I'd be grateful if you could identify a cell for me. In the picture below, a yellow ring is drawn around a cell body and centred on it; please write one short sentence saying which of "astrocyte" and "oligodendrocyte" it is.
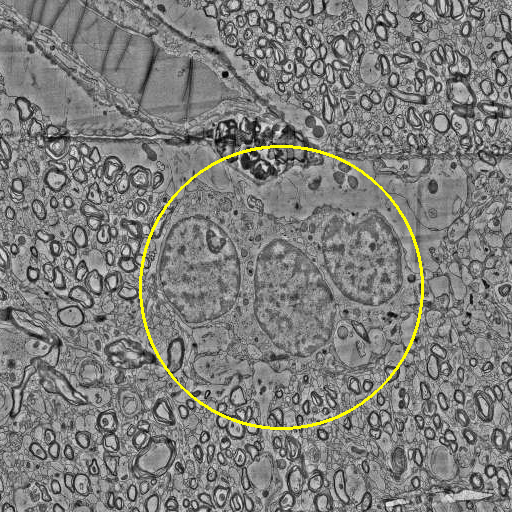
The cell under the ring's centre is an oligodendrocyte.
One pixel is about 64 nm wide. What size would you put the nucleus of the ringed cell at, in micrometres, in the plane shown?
The nucleus appears roughly 8 by 5 micrometres in this plane.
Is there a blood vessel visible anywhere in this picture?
Yes.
